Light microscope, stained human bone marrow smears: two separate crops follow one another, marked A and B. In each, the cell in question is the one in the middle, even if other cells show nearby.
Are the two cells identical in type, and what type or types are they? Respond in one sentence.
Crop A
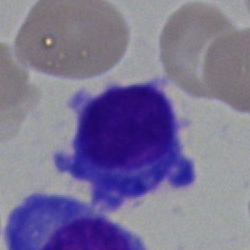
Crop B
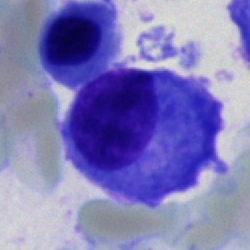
Yes, it is plasma cells that both crops show.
